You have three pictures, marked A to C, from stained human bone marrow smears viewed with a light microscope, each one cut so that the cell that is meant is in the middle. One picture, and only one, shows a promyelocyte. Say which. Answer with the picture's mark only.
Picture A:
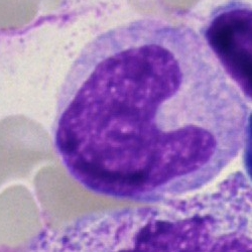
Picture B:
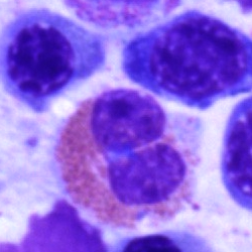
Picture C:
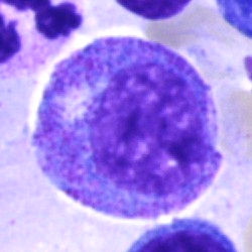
C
